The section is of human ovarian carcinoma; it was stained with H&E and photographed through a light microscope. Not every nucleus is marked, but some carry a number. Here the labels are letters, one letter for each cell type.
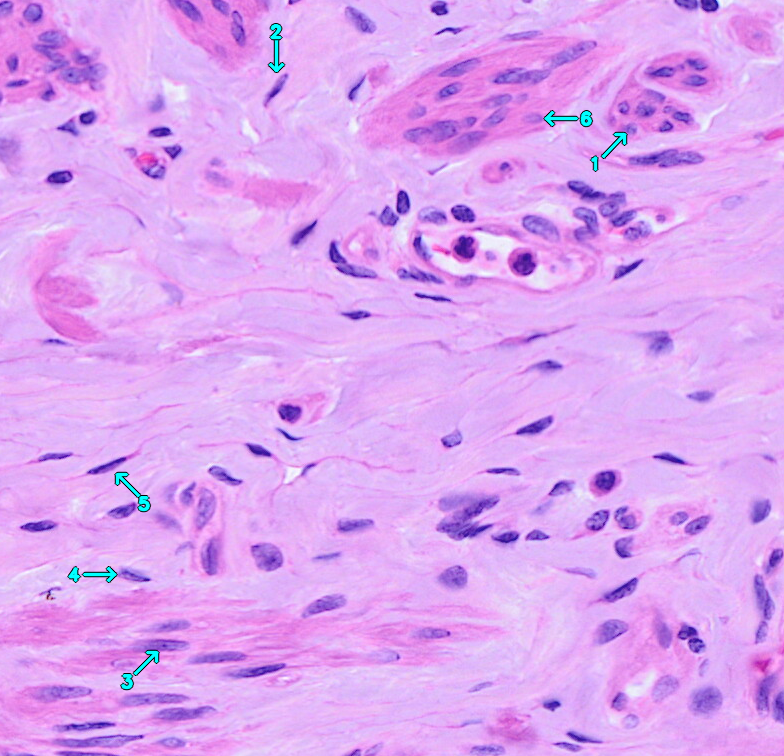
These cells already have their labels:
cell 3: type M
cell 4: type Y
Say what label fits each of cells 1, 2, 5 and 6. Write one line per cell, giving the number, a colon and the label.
1: type M
2: type Y
5: type Y
6: type M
